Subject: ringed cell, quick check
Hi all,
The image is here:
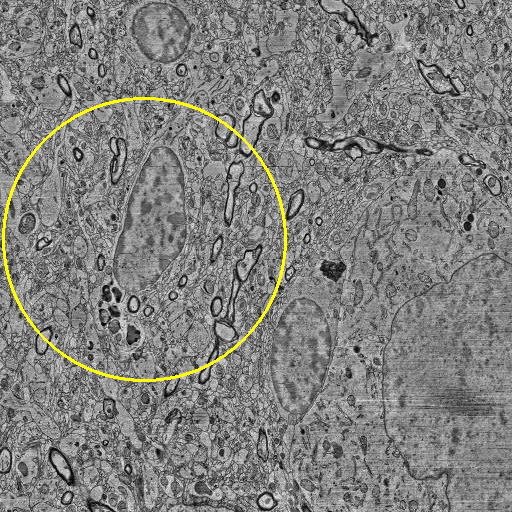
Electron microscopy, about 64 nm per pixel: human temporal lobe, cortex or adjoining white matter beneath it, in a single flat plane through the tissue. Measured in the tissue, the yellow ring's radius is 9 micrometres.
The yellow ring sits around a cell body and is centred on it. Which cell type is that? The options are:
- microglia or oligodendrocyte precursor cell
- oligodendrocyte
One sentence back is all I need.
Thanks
That ringed cell is a microglial cell or oligodendrocyte precursor cell.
